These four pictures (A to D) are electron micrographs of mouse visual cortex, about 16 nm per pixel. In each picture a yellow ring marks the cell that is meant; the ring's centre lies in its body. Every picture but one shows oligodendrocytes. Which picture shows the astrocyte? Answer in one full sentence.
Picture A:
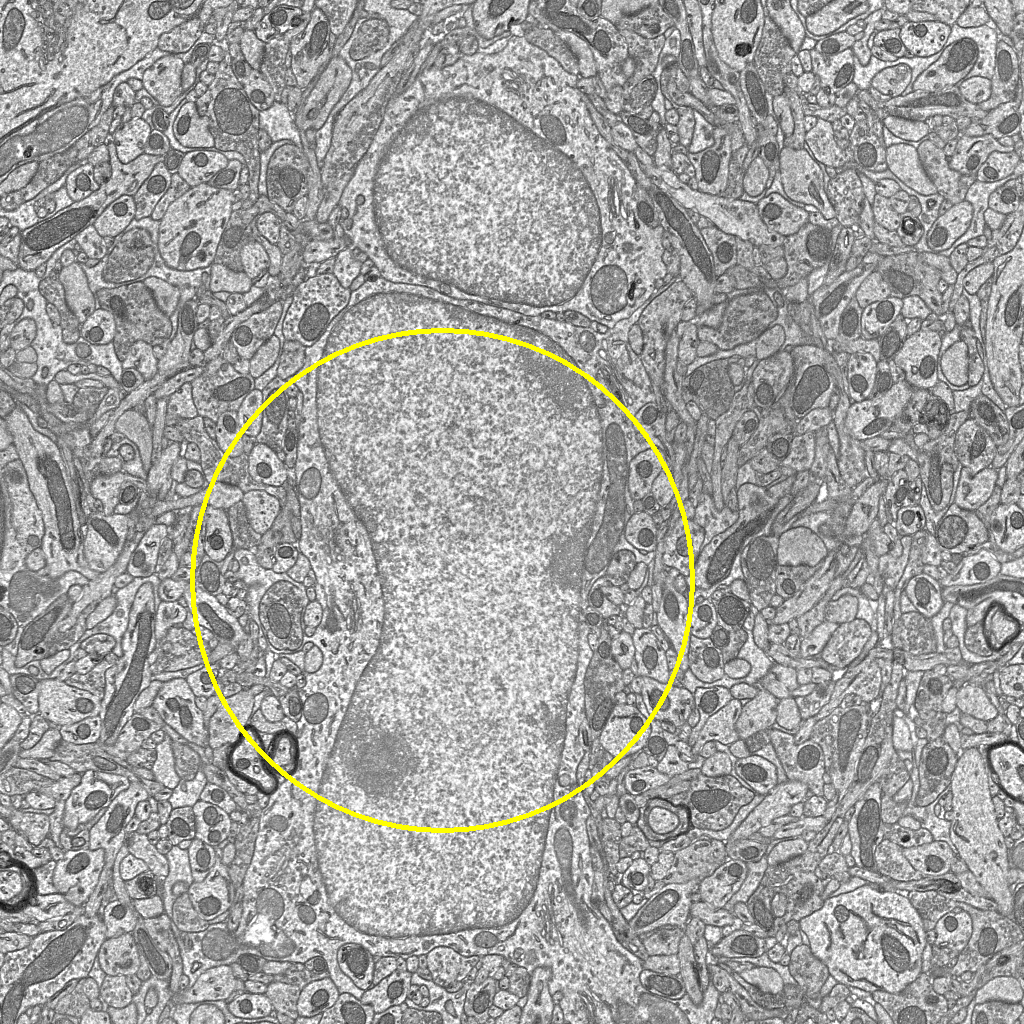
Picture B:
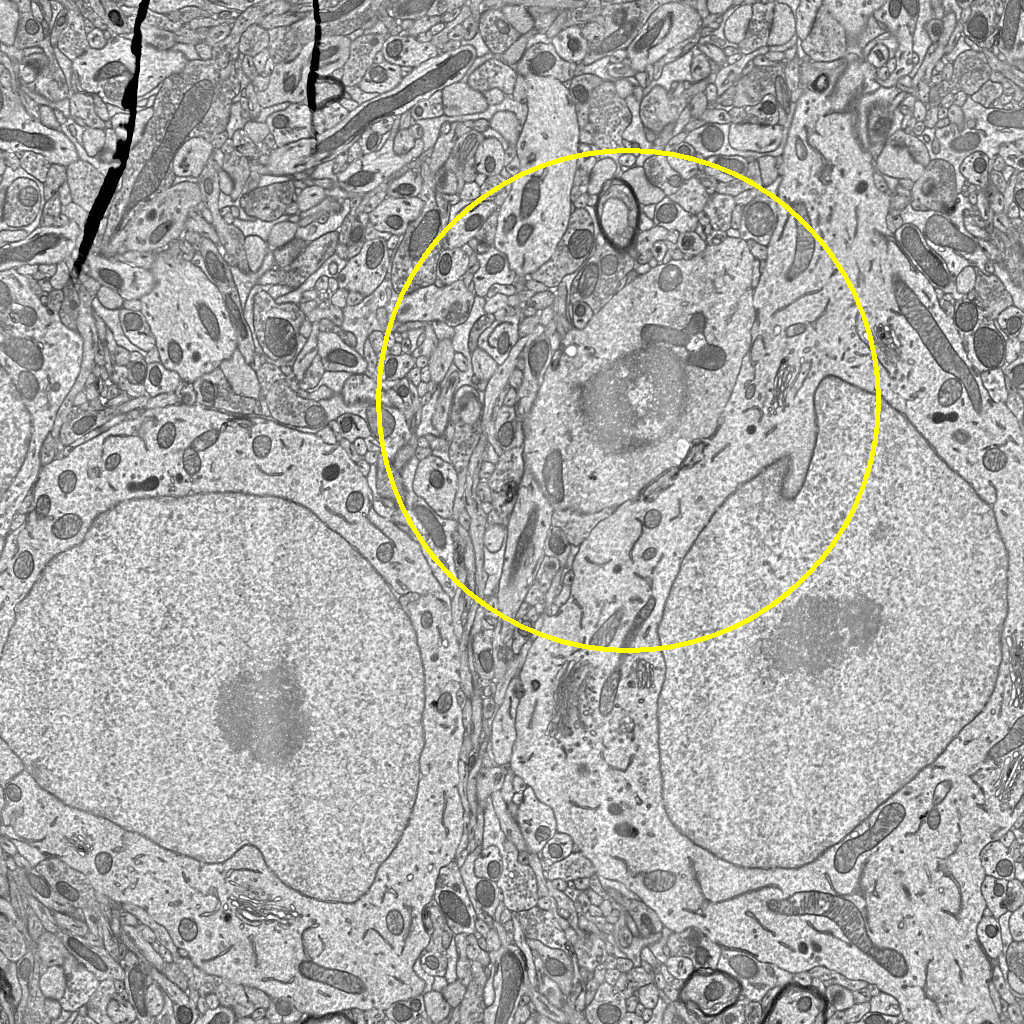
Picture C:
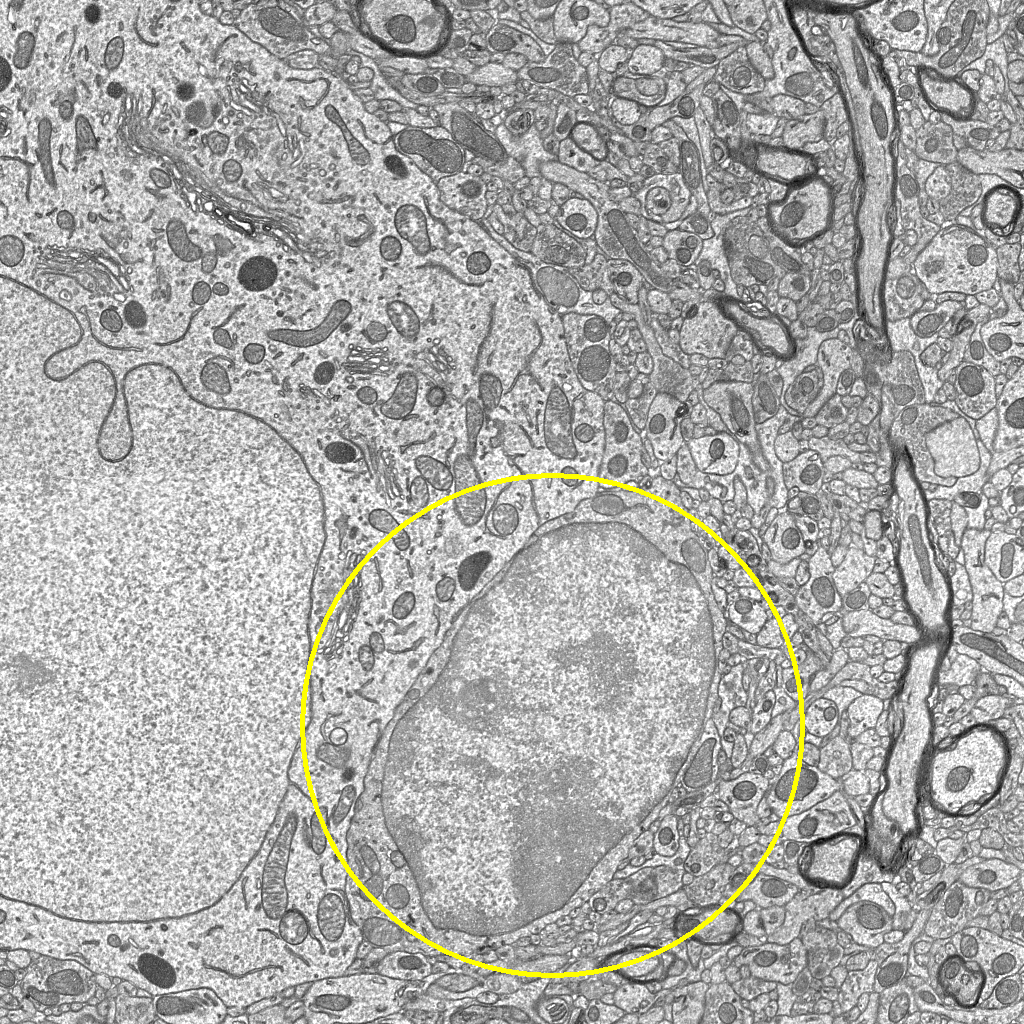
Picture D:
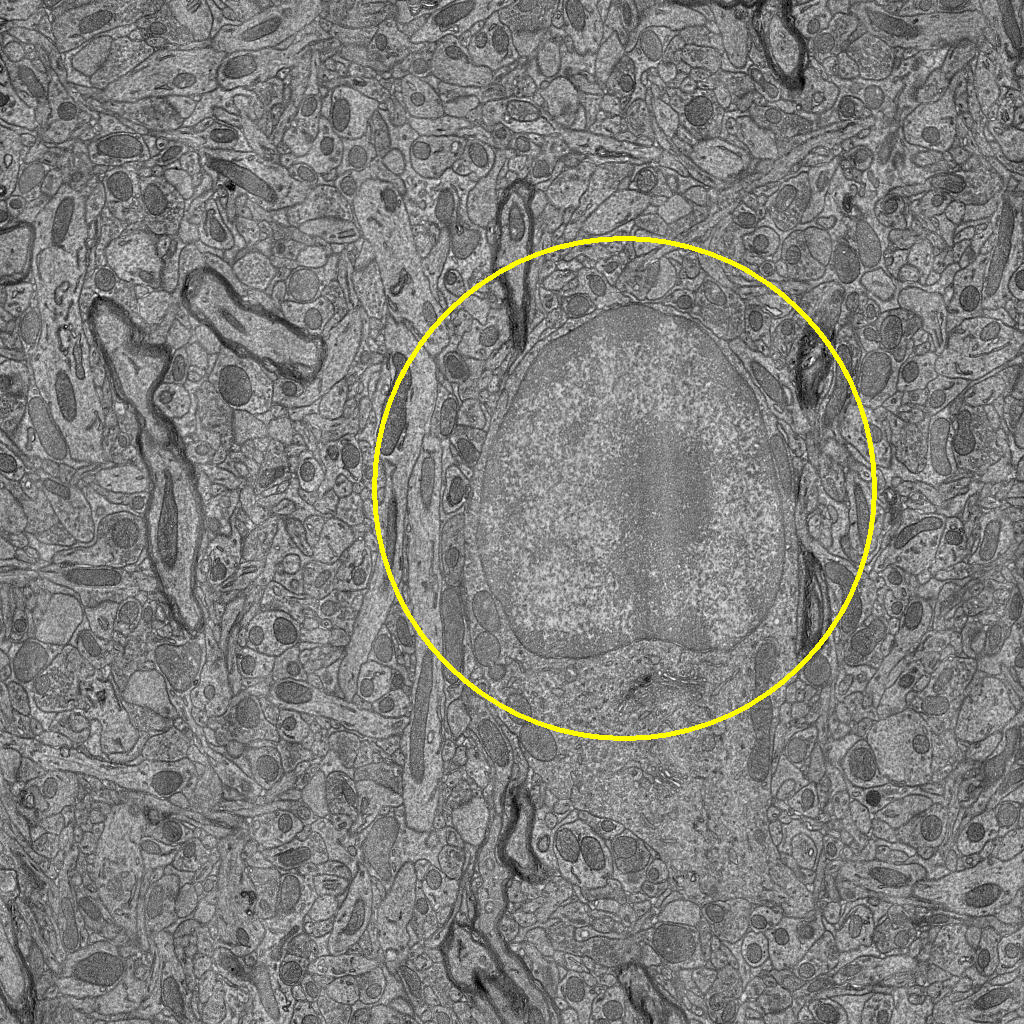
It is picture A that shows the astrocyte.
